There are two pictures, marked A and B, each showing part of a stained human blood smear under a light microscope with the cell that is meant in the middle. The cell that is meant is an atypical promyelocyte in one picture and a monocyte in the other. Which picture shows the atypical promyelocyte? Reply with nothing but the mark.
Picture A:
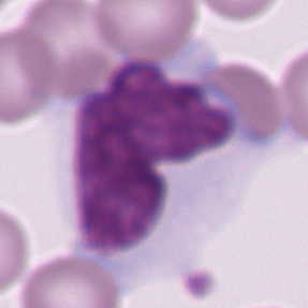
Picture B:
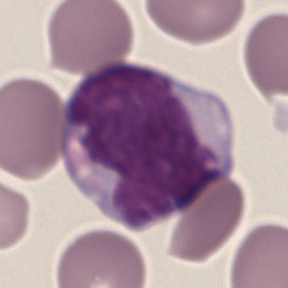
B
